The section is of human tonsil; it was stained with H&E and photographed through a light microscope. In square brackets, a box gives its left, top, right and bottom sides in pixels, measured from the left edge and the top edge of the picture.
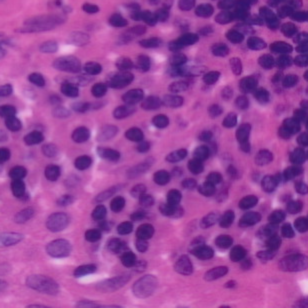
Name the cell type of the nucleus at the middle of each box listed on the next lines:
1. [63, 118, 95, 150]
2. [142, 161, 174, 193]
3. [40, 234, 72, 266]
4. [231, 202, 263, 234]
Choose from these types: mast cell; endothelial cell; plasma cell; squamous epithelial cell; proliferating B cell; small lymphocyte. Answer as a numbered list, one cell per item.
1. plasma cell
2. plasma cell
3. squamous epithelial cell
4. plasma cell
